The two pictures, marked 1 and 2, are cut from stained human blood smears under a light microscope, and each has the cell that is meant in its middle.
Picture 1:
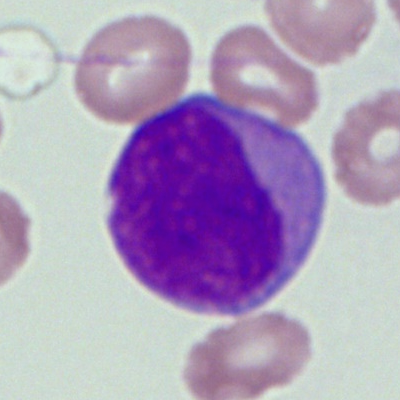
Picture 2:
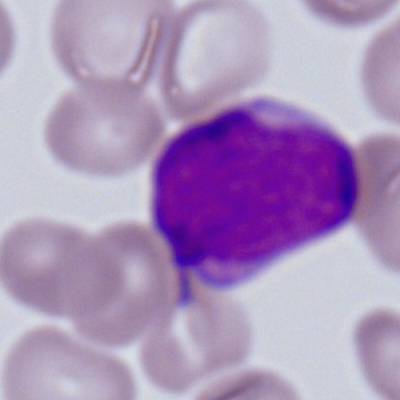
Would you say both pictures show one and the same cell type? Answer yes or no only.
yes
